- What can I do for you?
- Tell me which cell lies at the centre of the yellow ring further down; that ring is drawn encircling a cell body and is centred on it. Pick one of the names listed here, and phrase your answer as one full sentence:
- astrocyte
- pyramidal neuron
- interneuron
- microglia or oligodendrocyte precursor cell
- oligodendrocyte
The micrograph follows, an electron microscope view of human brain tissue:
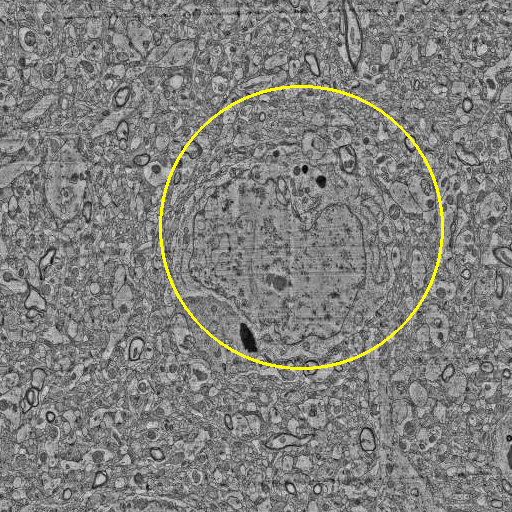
The cell whose body lies at the centre of the yellow ring is an interneuron.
